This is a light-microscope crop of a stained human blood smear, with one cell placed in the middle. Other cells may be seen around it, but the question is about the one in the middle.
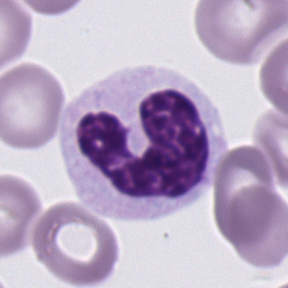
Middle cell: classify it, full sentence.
Located at the centre of the crop is a band neutrophil.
